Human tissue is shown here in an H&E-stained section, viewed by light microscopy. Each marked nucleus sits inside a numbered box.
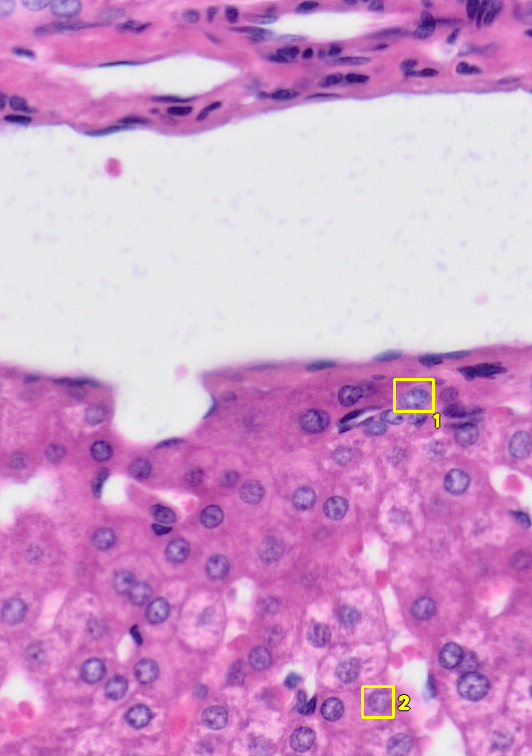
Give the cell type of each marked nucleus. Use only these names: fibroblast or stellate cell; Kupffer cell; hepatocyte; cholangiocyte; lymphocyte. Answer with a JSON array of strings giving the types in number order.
["cholangiocyte", "hepatocyte"]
